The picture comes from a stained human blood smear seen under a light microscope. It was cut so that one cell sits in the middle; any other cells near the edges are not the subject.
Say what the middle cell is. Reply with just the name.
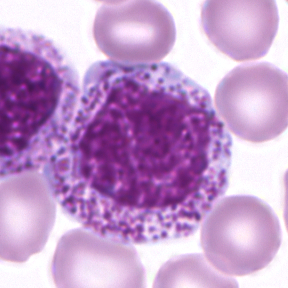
myelocyte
